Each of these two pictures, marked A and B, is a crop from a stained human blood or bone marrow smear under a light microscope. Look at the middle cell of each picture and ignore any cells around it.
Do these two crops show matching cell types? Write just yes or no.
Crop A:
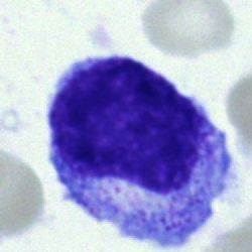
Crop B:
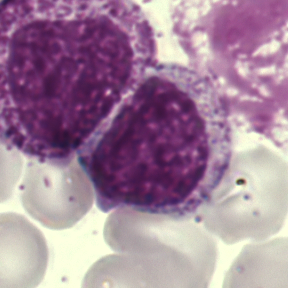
yes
